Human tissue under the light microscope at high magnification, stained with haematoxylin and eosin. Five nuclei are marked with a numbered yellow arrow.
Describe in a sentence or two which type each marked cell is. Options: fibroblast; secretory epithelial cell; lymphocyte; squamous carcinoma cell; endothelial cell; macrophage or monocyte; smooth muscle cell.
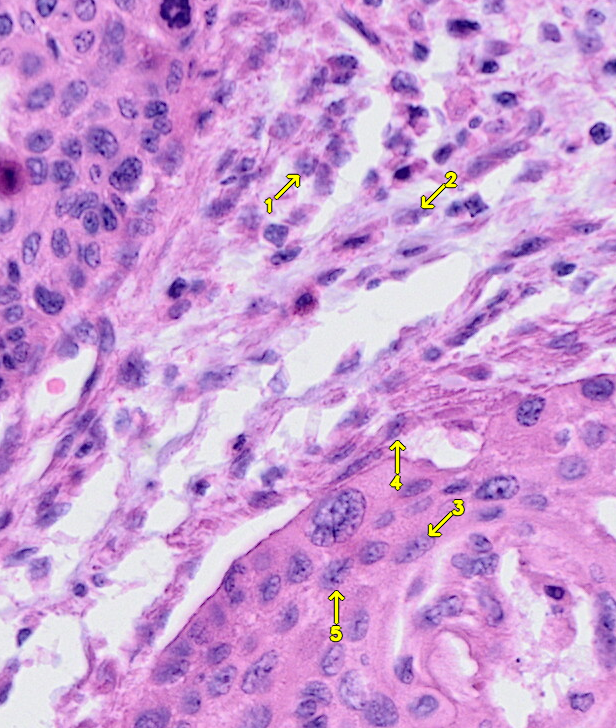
Cell 1 is a fibroblast, cell 2 is a fibroblast, cell 3 is a squamous carcinoma cell, cell 4 is a fibroblast and cell 5 is a squamous carcinoma cell.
